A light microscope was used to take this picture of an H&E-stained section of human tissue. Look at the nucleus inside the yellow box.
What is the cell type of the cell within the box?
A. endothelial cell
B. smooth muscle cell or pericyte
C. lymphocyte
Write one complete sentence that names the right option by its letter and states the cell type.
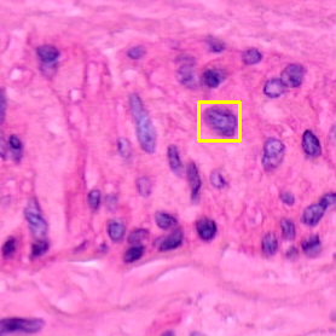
Here the cell within the box is a smooth muscle cell or pericyte, which makes option B correct.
